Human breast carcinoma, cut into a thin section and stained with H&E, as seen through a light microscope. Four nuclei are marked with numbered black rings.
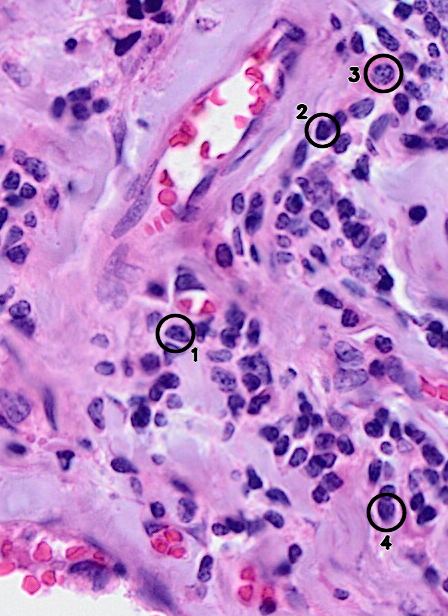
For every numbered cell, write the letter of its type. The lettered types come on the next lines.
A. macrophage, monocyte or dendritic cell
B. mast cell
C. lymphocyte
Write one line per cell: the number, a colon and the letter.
1: C
2: C
3: B
4: C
